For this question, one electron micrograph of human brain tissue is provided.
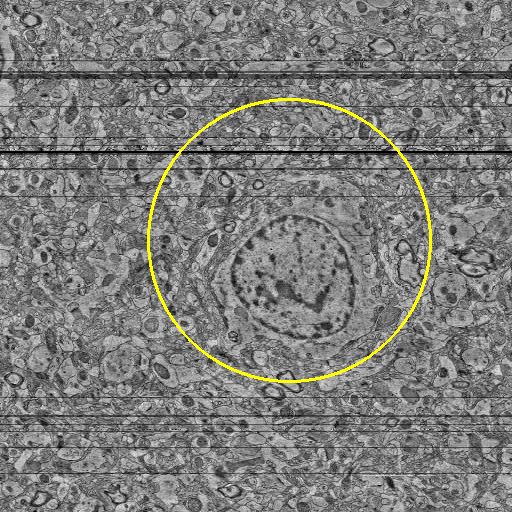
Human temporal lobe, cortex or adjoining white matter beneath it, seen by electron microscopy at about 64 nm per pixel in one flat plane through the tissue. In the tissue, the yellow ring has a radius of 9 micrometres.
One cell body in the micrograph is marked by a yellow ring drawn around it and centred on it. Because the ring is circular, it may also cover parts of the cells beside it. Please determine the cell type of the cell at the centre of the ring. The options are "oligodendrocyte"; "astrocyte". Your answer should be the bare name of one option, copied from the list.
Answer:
astrocyte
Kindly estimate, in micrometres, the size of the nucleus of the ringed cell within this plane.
Roughly 8 micrometres across for the nucleus, in this plane.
